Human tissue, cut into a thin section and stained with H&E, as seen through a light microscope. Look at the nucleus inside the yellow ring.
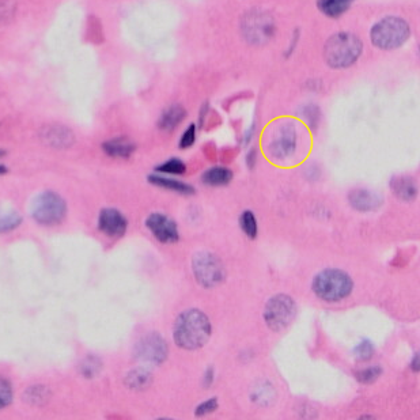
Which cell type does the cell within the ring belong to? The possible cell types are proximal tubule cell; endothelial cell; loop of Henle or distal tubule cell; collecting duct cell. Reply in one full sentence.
It is as a loop of Henle or distal tubule cell that the cell within the ring is recorded.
